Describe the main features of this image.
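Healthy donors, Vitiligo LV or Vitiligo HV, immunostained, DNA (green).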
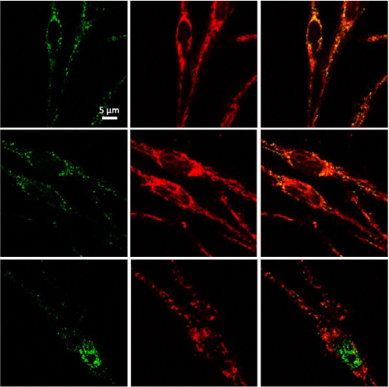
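These are cultured melanocytes, shown as elongated, spindle-shaped cells with long slender processes. Green dots are scattered through the cytoplasm and mostly overlap the red network, giving yellow-orange in the merged images. In some cells the green dots gather in a dense cluster within the cell body, apart from the red network.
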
